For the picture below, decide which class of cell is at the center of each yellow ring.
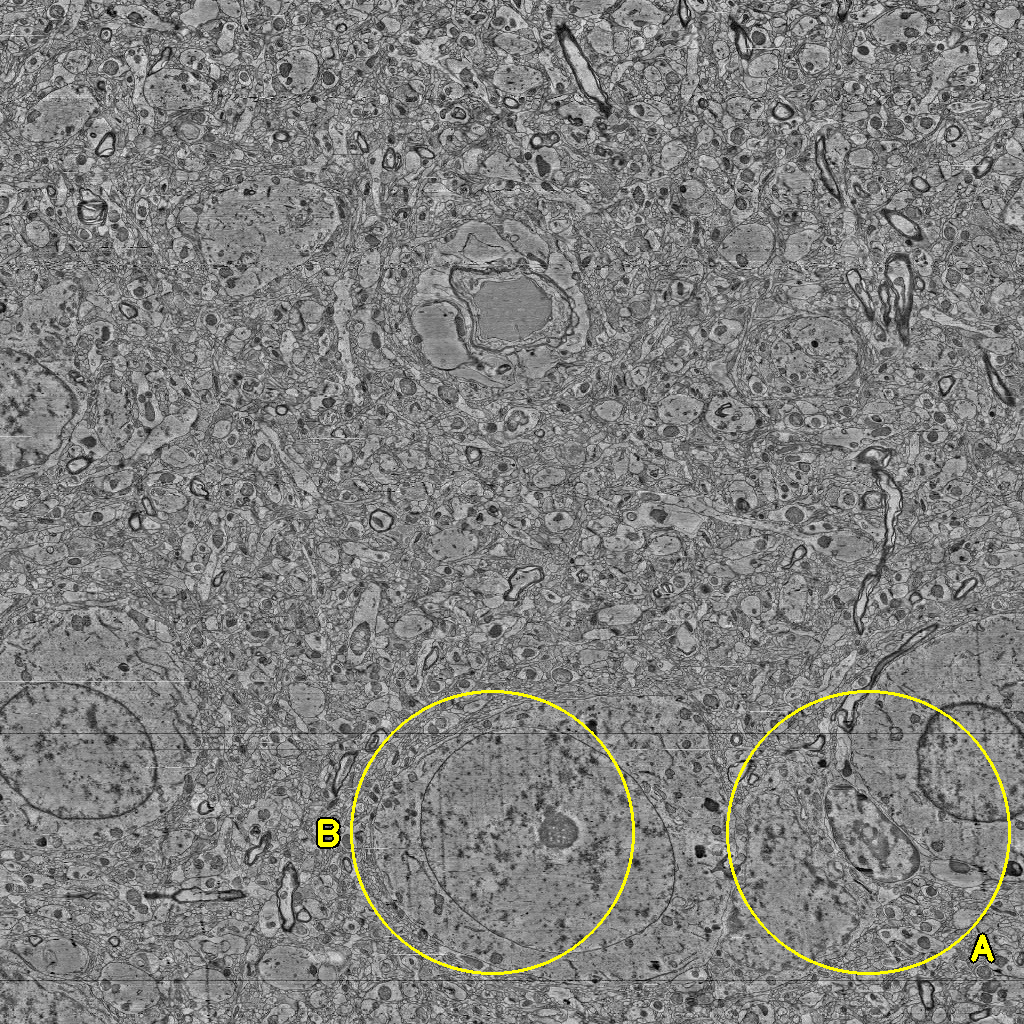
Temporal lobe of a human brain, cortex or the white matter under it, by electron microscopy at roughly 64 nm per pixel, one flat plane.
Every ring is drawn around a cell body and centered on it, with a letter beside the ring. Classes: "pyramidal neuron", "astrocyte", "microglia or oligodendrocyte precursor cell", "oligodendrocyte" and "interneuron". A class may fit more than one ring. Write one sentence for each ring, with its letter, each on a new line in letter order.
Centered in ring A is a microglial cell or oligodendrocyte precursor cell.
Centered in ring B is a pyramidal neuron.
